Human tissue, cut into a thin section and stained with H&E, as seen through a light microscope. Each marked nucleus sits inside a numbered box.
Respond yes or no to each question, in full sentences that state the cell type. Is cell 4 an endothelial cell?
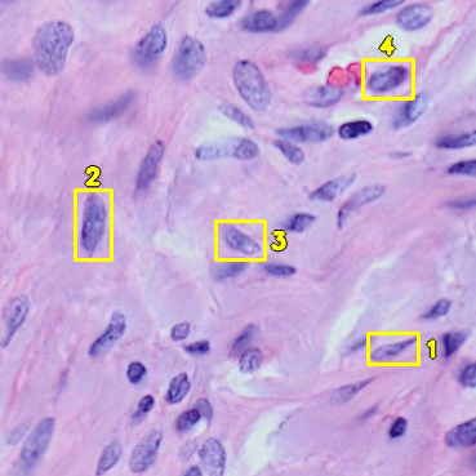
Yes, cell 4 among the marked cells is an endothelial cell.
